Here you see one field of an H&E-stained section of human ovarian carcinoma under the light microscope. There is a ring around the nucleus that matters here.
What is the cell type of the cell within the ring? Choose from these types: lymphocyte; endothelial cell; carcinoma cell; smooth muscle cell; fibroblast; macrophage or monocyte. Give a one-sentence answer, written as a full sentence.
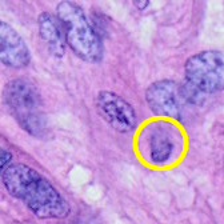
Just put down that the cell within the ring is a macrophage or monocyte.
